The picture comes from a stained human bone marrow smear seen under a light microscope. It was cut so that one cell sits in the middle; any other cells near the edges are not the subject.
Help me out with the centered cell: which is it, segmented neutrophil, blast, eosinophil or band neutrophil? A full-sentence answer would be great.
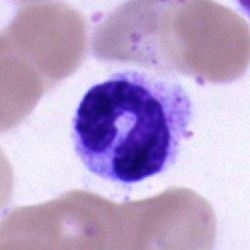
The crop centres on a single cell, and that cell is a segmented neutrophil.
